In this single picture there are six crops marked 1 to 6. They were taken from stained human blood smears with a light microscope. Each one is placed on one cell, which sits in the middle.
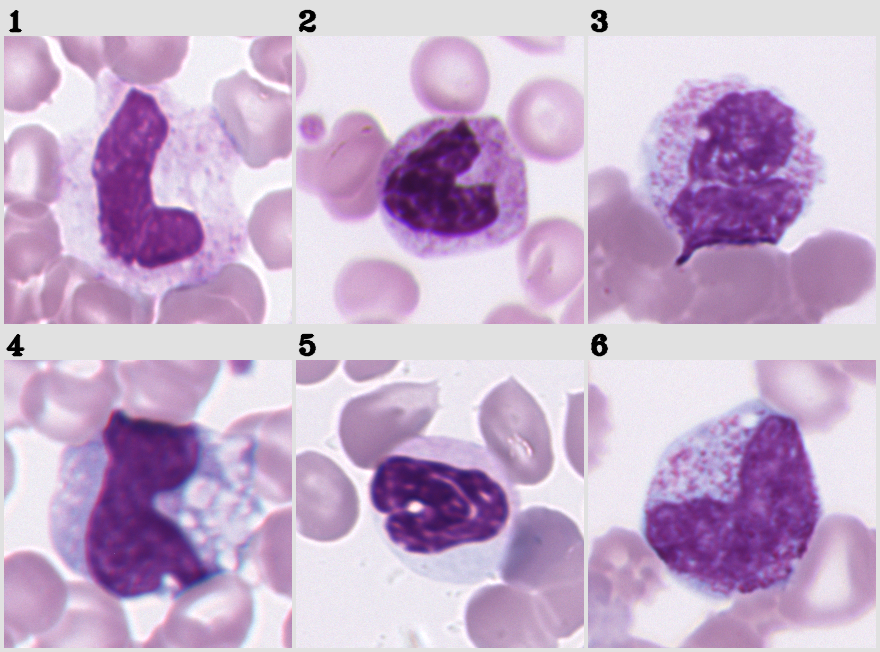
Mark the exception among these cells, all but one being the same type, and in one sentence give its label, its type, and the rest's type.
The others are all band neutrophils; crop 4 is a monocyte.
